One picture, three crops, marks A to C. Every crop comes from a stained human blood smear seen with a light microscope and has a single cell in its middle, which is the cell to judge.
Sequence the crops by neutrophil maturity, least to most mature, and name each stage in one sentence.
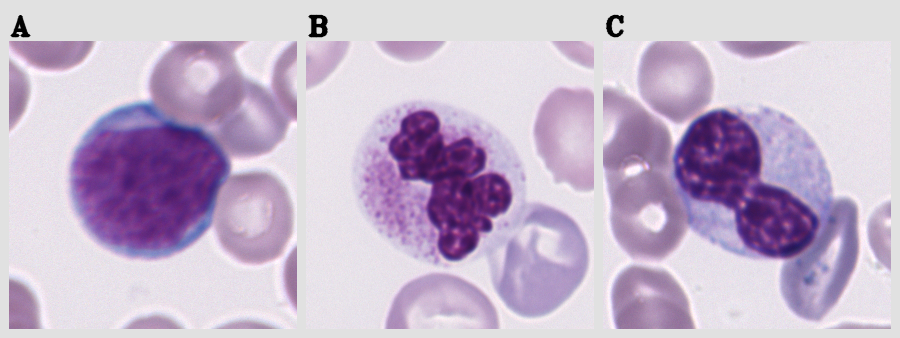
Ordered least to most mature, the series reads crop A (a myeloblast), crop C (a band neutrophil) and crop B (a segmented neutrophil).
